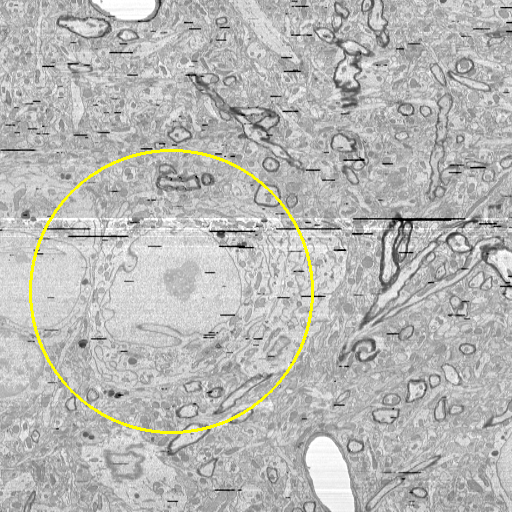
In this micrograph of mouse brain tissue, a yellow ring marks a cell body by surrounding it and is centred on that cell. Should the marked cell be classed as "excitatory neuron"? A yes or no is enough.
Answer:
no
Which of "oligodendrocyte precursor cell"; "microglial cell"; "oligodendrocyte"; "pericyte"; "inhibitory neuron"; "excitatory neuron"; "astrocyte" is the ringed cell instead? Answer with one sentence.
So the cell at the centre is an inhibitory neuron.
